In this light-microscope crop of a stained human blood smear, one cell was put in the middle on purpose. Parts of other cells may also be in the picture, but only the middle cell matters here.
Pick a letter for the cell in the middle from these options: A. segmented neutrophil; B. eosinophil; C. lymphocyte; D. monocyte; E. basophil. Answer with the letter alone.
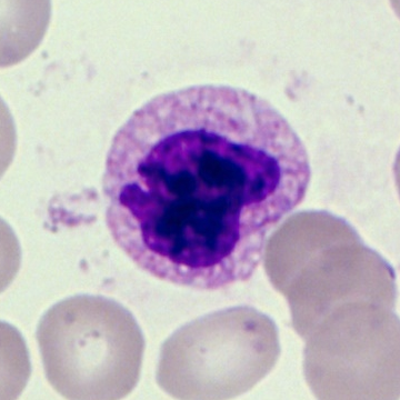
E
